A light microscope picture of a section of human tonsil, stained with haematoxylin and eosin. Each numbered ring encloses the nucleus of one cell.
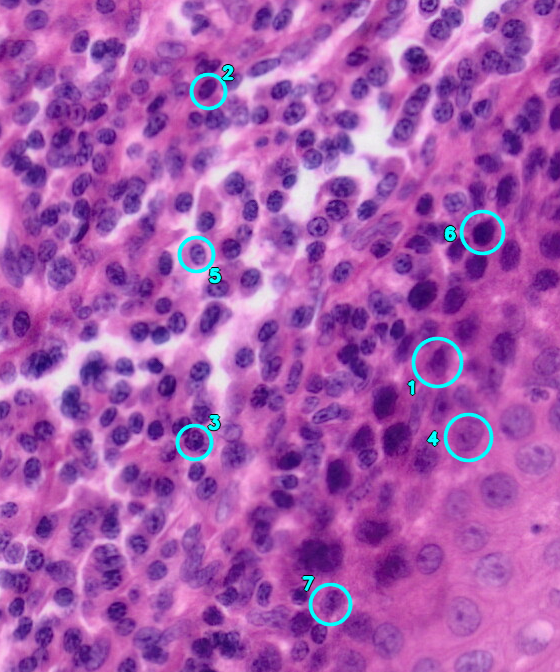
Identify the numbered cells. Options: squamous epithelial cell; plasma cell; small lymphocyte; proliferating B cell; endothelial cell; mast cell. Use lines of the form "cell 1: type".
cell 1: squamous epithelial cell
cell 2: plasma cell
cell 3: plasma cell
cell 4: squamous epithelial cell
cell 5: plasma cell
cell 6: squamous epithelial cell
cell 7: squamous epithelial cell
